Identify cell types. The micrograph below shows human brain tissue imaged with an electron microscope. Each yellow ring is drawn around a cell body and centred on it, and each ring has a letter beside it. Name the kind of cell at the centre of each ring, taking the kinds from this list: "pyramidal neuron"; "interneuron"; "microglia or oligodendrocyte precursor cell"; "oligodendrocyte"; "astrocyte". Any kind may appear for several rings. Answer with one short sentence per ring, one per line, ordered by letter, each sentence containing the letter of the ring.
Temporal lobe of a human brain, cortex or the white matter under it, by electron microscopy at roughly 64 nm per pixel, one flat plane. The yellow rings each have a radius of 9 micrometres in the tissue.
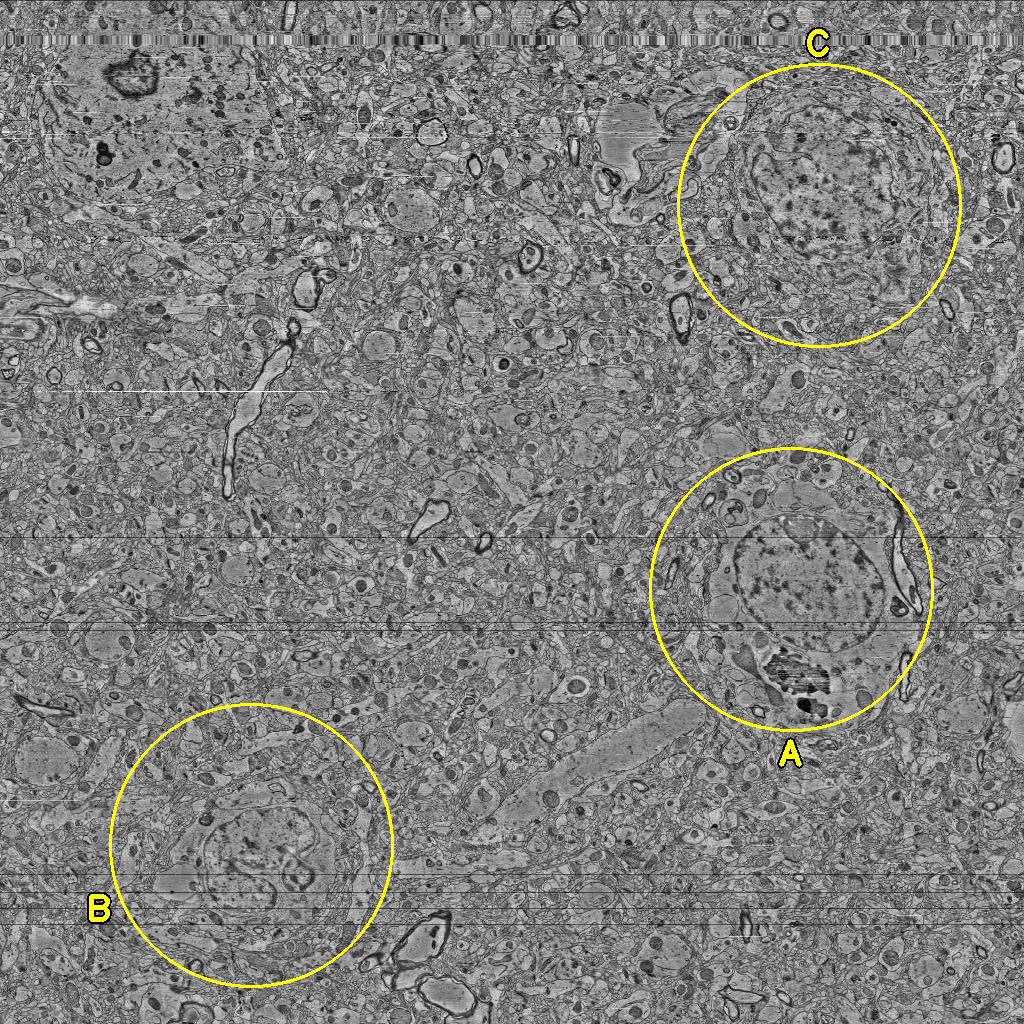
Ring A marks an astrocyte.
Ring B marks a microglial cell or oligodendrocyte precursor cell.
Ring C marks an interneuron.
